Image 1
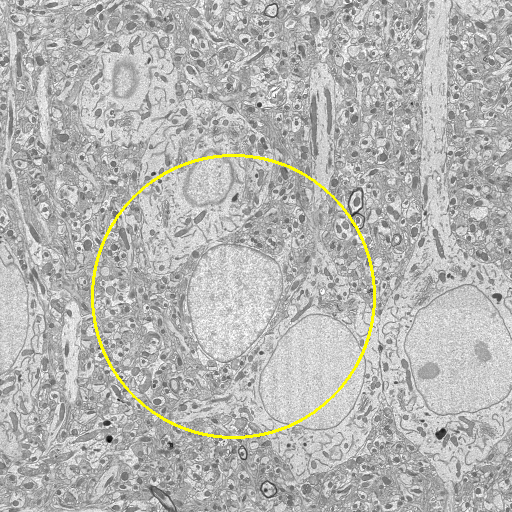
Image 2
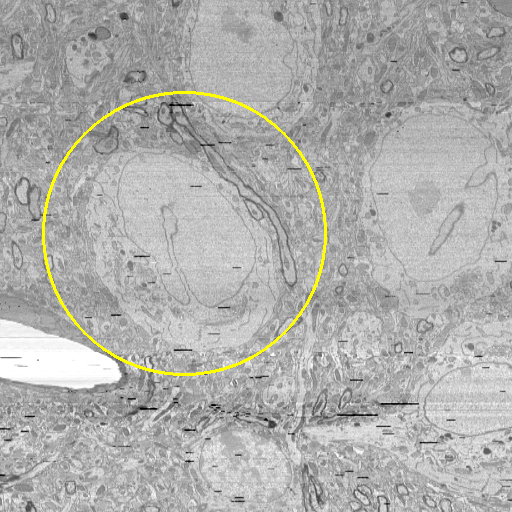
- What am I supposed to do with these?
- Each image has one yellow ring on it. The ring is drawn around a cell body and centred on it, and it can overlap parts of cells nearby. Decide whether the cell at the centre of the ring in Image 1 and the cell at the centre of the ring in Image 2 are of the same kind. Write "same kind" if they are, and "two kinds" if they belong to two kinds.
two kinds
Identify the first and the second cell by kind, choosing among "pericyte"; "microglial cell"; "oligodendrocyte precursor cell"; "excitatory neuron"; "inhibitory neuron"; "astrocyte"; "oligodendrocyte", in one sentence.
The one in the first picture is an astrocyte, while the one in the second is an excitatory neuron.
